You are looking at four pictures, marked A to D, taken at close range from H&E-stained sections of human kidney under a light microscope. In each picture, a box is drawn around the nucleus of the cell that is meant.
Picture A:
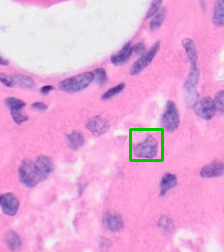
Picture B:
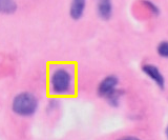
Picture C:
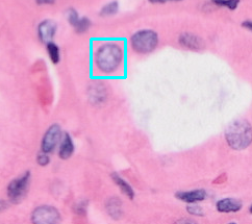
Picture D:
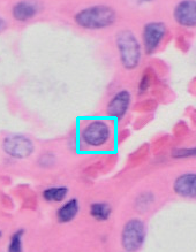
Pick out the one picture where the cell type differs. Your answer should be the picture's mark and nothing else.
D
